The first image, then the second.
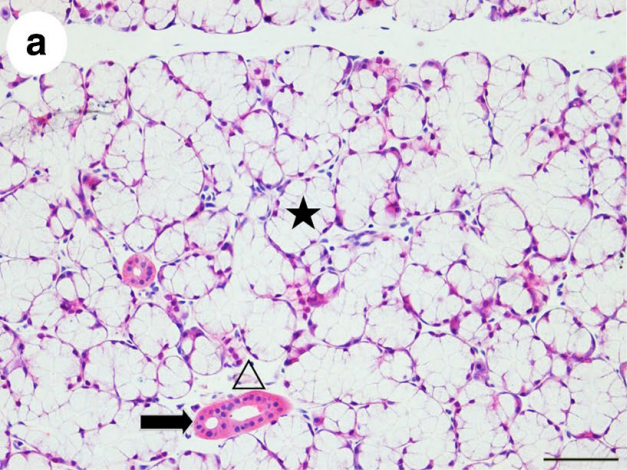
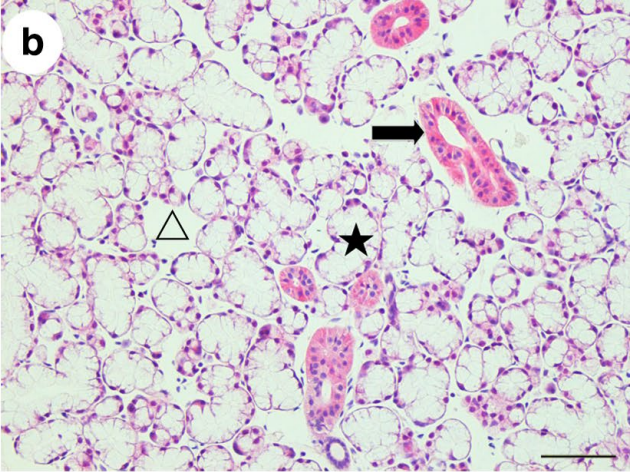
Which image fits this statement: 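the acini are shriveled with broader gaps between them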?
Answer: the second image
